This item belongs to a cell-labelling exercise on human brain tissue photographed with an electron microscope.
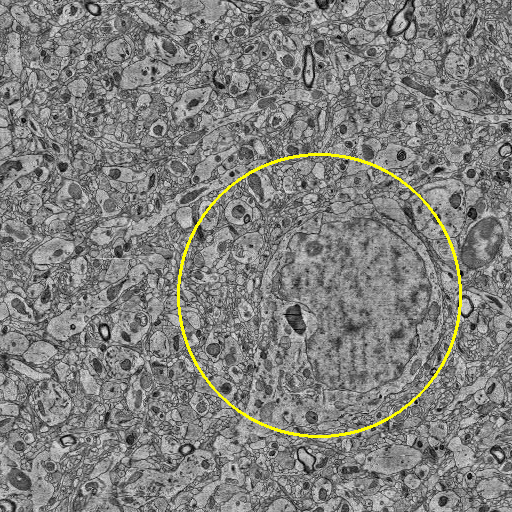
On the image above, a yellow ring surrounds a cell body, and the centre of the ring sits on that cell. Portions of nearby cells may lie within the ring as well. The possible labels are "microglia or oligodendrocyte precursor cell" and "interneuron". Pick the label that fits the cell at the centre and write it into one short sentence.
This cell should be labelled as an interneuron.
